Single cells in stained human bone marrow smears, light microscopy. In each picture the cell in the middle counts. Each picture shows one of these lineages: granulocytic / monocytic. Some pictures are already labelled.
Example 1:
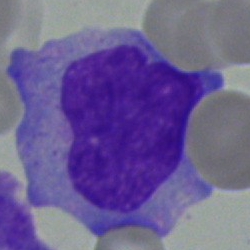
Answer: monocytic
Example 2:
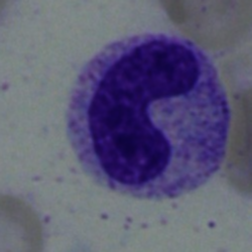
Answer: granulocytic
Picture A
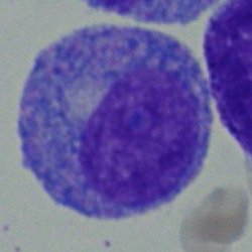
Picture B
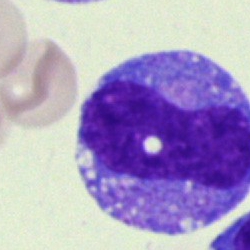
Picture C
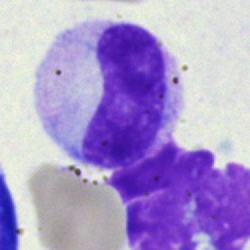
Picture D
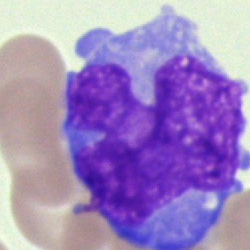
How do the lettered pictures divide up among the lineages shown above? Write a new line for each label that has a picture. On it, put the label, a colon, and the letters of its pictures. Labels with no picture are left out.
granulocytic: A, C
monocytic: B, D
